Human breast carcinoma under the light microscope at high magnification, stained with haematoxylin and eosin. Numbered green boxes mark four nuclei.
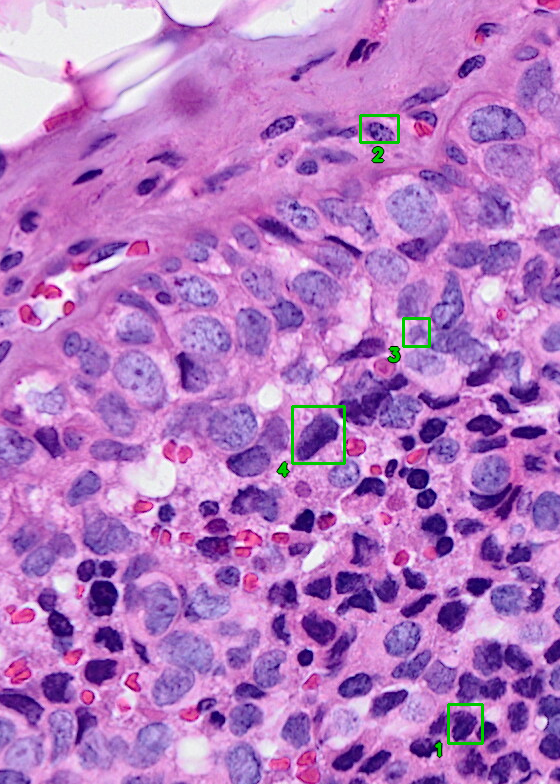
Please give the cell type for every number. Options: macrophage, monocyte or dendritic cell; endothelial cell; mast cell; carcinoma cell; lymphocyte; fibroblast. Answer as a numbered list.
1. carcinoma cell
2. mast cell
3. carcinoma cell
4. carcinoma cell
